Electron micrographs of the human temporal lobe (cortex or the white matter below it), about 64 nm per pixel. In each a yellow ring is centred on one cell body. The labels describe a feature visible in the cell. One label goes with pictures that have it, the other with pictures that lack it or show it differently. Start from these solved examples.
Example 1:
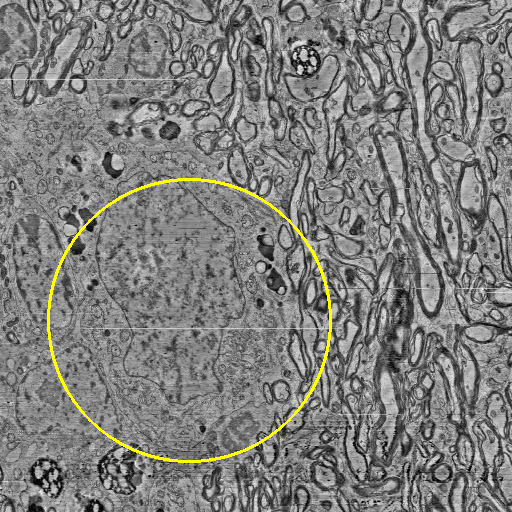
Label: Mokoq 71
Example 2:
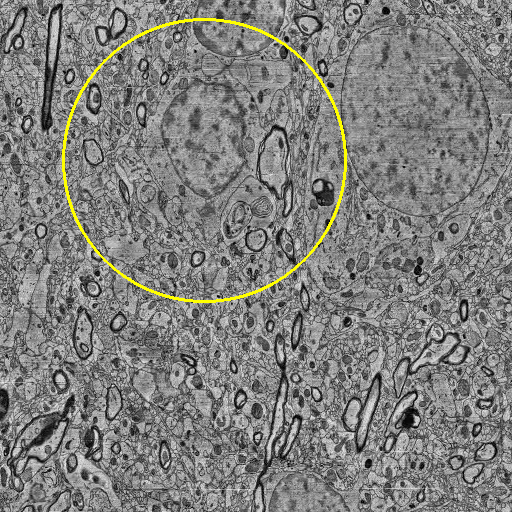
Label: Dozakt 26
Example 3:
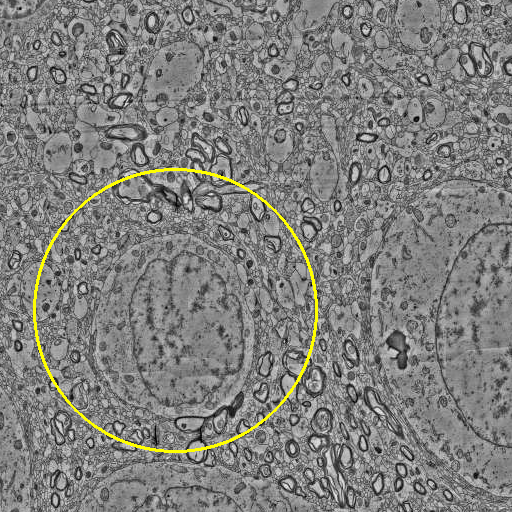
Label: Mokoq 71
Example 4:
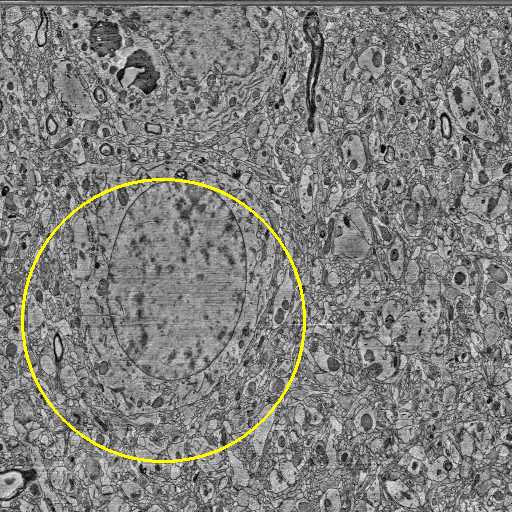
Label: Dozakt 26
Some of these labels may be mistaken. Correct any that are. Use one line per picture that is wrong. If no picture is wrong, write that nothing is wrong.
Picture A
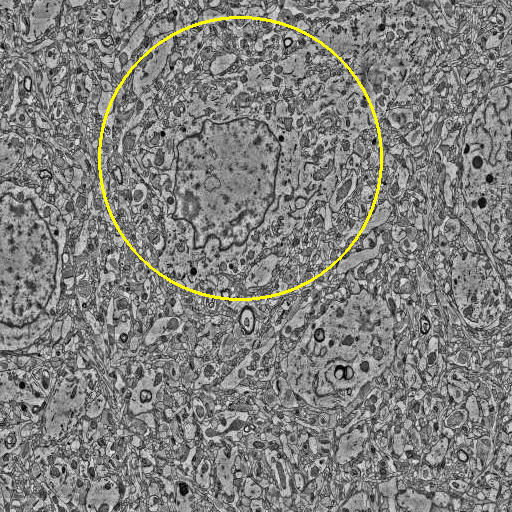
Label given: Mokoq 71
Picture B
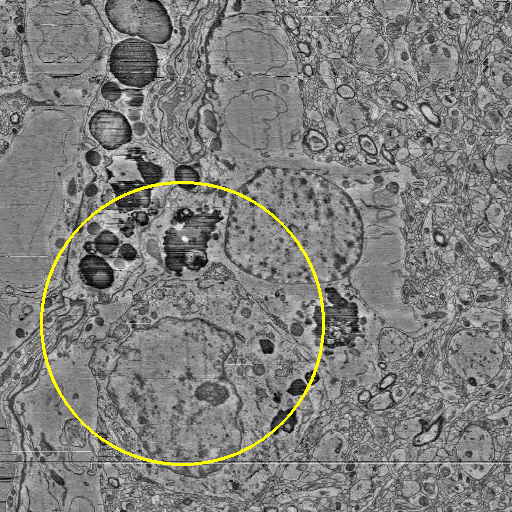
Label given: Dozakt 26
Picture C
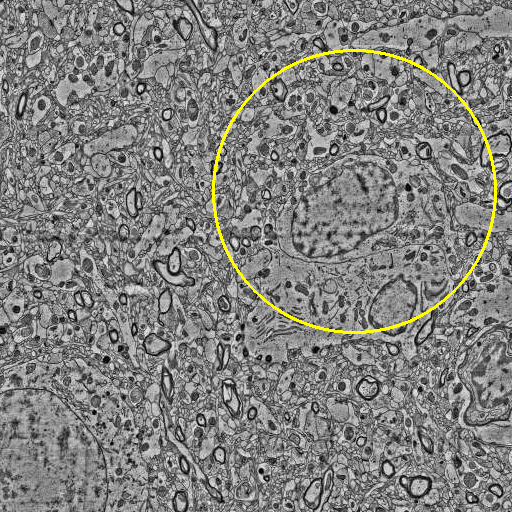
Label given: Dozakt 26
B: change Dozakt 26 to Mokoq 71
